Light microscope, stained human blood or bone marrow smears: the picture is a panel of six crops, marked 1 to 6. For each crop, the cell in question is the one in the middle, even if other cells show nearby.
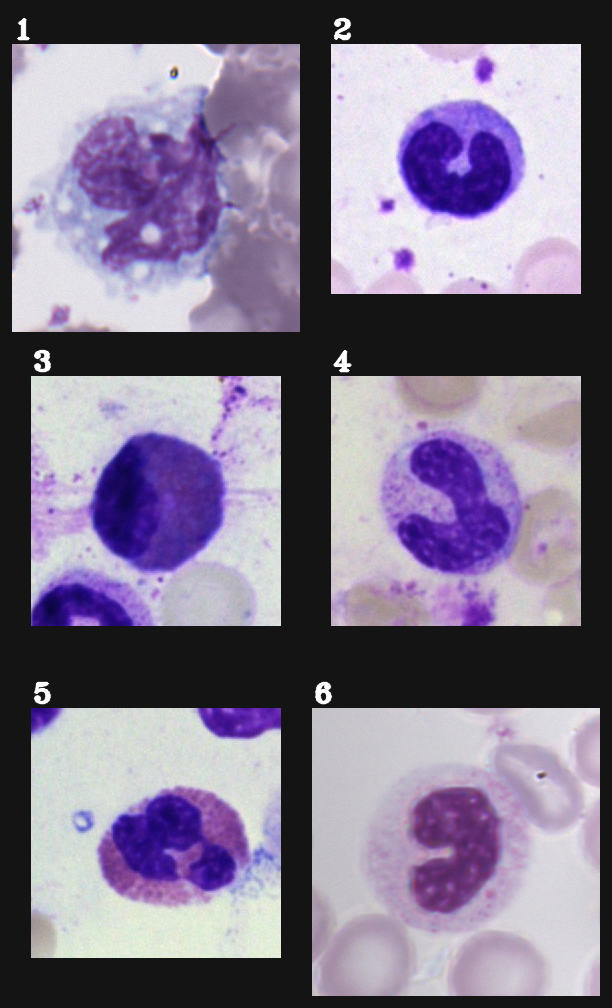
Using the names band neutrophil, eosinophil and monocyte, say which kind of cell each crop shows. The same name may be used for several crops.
1: monocyte
2: band neutrophil
3: eosinophil
4: band neutrophil
5: eosinophil
6: band neutrophil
